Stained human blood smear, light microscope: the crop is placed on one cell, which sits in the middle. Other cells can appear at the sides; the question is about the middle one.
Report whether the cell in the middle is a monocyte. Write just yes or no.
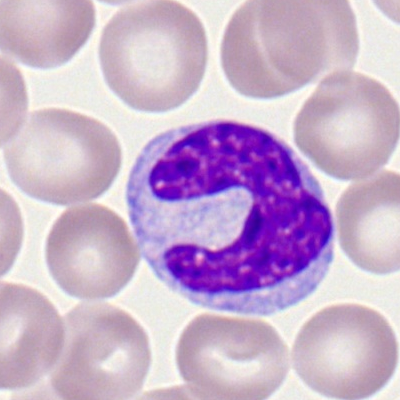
yes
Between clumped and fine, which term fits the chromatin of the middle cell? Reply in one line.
Answer: the chromatin in this nucleus is coarsely clumped.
